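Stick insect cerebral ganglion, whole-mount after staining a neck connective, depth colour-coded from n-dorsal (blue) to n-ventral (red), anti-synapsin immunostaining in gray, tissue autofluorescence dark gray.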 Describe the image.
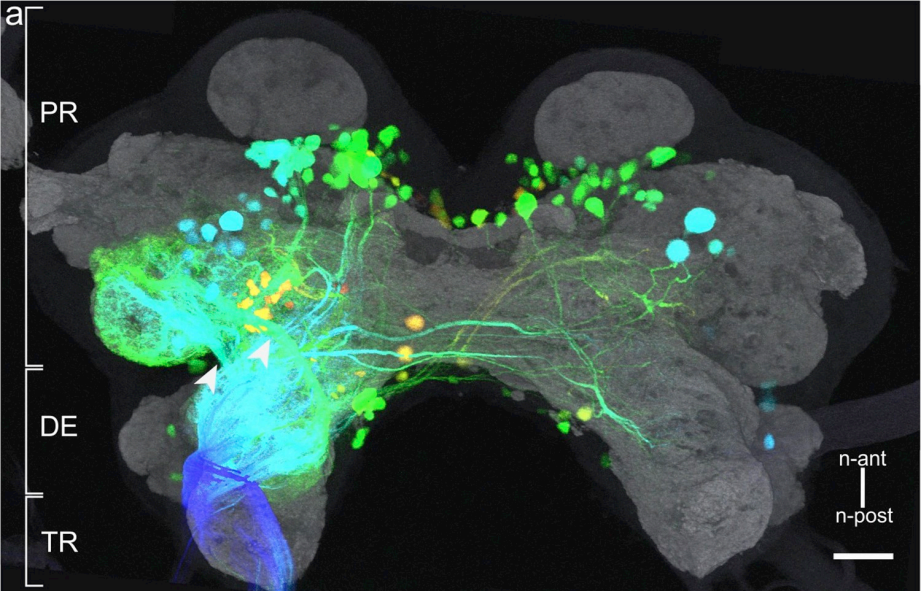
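The largest groups of cell bodies sit along the upper midline region and in the upper left and right parts, with smaller clusters lower near the central notch. Cell bodies differ in size, several large round ones standing out in the upper lateral regions on both sides. Thin fibres run from the cell bodies across the midline, crossing toward the opposite half.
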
